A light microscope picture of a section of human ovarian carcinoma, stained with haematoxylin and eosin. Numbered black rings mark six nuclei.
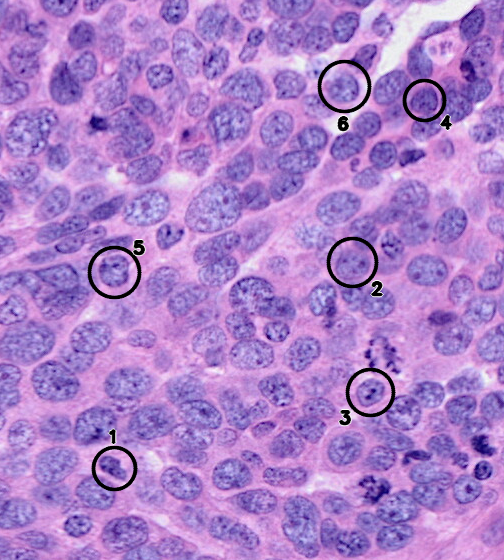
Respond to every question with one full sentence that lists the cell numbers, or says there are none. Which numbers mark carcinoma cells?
When it comes to cells 2, 4 and 6, they are carcinoma cells.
